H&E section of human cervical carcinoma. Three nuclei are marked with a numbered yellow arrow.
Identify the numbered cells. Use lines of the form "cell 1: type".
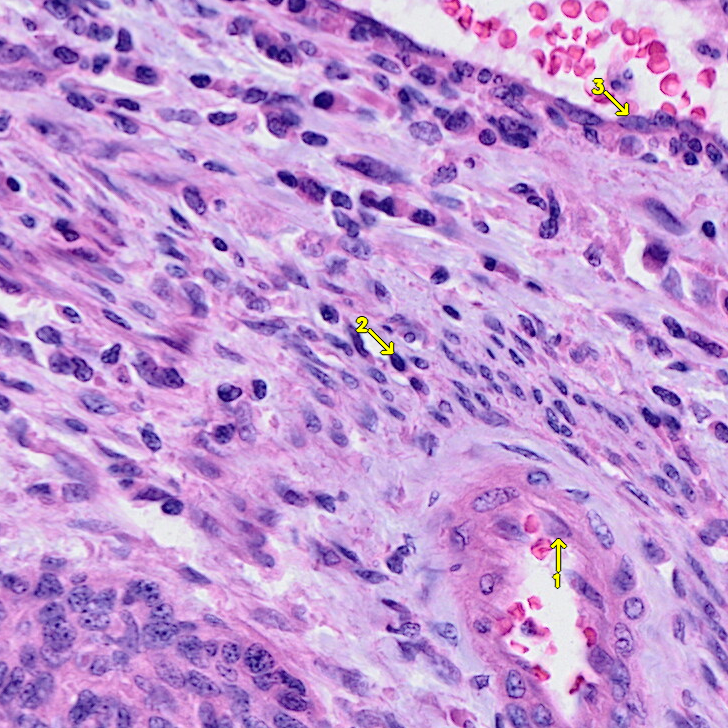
cell 1: endothelial cell
cell 2: lymphocyte
cell 3: endothelial cell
